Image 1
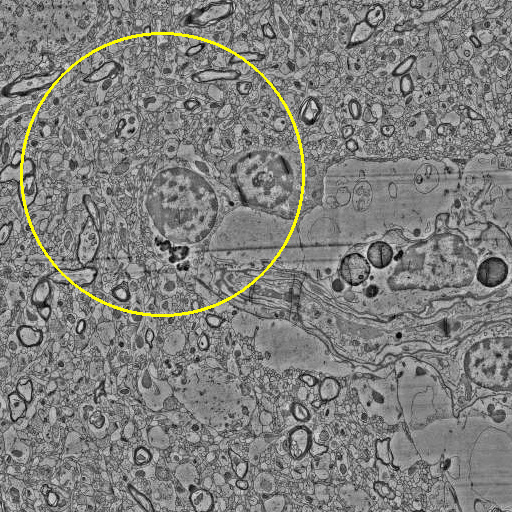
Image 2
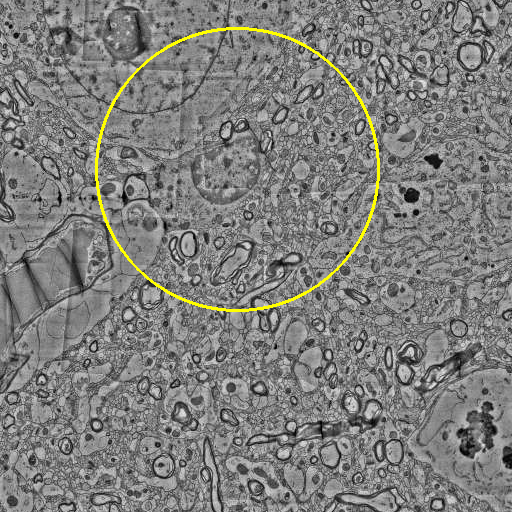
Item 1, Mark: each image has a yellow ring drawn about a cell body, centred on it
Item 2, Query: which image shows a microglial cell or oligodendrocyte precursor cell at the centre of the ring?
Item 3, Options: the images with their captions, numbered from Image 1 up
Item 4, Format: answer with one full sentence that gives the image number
My answer is image 1, where the cell at the ring's centre fits.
